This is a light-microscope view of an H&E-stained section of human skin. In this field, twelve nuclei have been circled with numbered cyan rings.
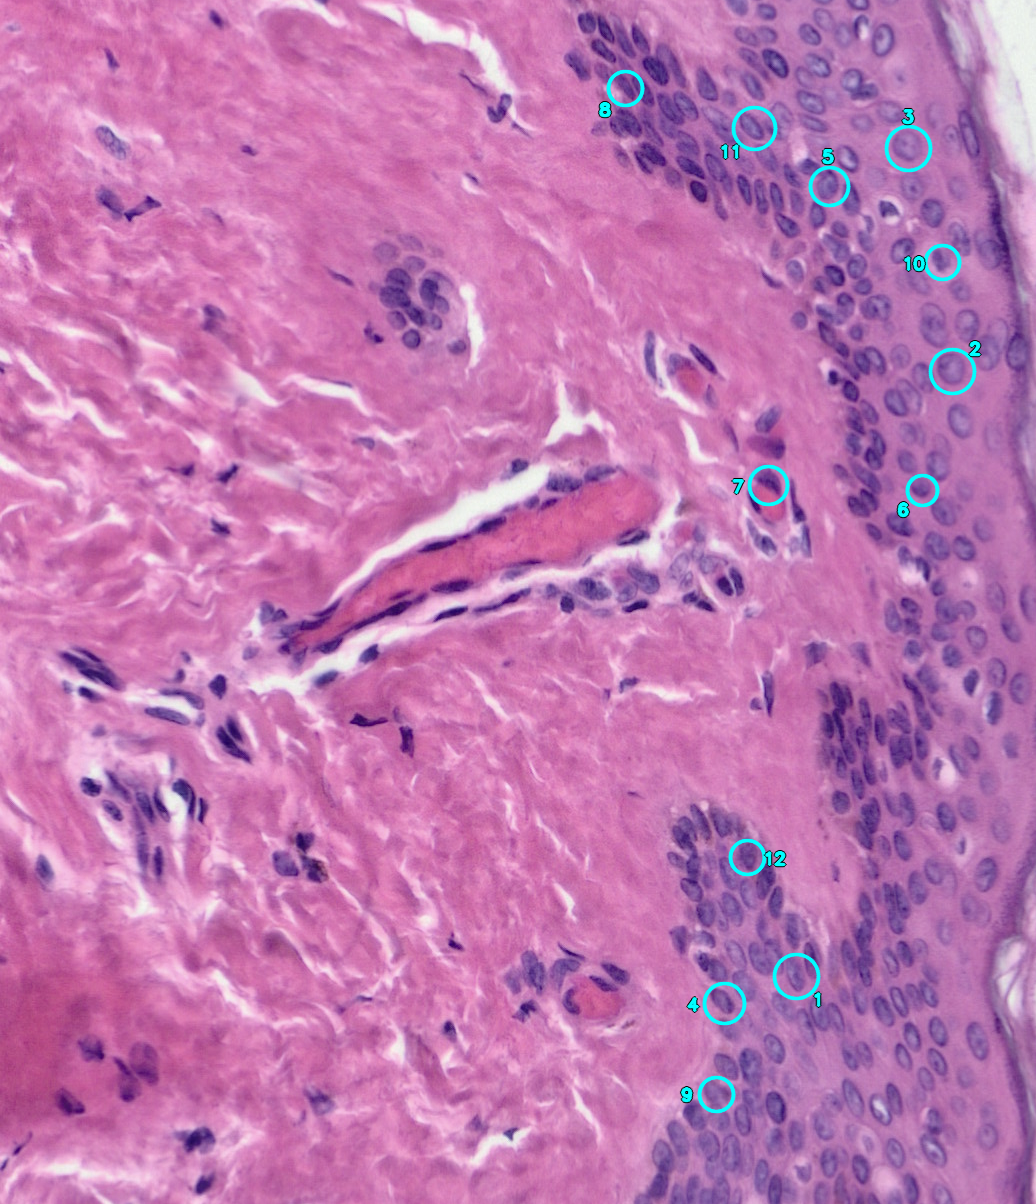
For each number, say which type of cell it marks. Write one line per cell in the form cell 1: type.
cell 1: basal keratinocyte
cell 2: suprabasal keratinocyte
cell 3: suprabasal keratinocyte
cell 4: basal keratinocyte
cell 5: suprabasal keratinocyte
cell 6: suprabasal keratinocyte
cell 7: endothelial cell
cell 8: basal keratinocyte
cell 9: basal keratinocyte
cell 10: suprabasal keratinocyte
cell 11: suprabasal keratinocyte
cell 12: basal keratinocyte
